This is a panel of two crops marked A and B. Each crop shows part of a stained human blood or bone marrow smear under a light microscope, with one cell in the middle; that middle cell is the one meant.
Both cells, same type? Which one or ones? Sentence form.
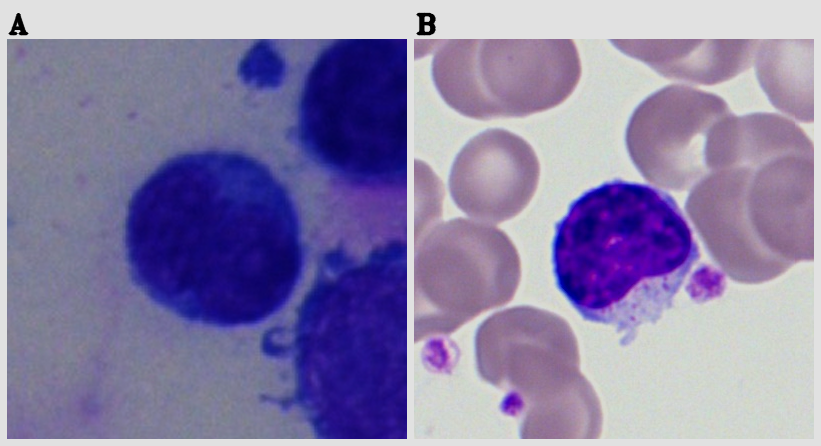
Yes, both crops show lymphocytes in the centre of the field.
